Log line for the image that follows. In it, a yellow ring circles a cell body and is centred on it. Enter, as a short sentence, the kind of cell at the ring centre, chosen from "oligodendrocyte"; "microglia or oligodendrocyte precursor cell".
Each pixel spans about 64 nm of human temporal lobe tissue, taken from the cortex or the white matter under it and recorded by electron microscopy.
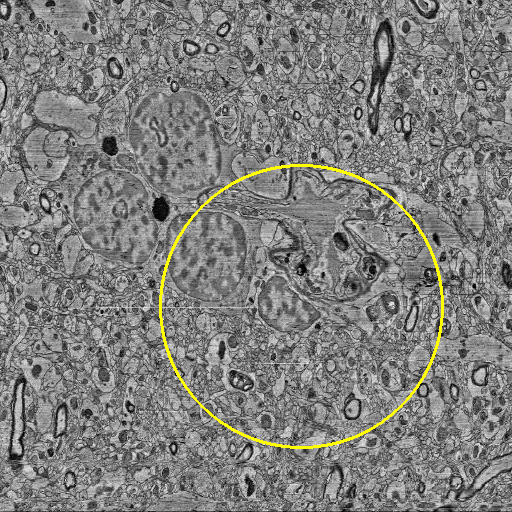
The ring centre is occupied by a microglial cell or oligodendrocyte precursor cell.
